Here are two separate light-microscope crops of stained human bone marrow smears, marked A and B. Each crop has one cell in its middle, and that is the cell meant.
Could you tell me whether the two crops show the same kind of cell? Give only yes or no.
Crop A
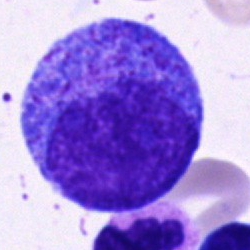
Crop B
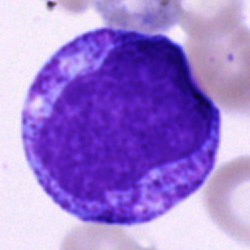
yes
